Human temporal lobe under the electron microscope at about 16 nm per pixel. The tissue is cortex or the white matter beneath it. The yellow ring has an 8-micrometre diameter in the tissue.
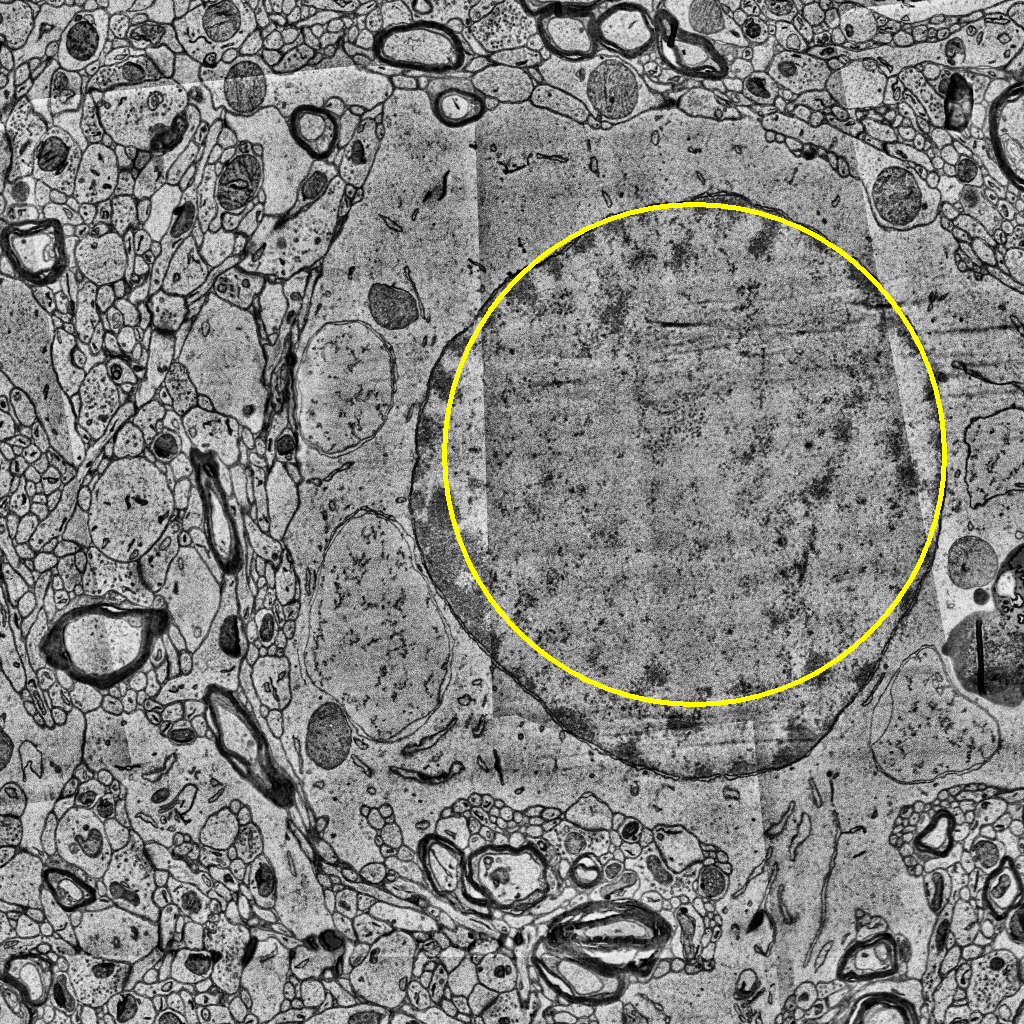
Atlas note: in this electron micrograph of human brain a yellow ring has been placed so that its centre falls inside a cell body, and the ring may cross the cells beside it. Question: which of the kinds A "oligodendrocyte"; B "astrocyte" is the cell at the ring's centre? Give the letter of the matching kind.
B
